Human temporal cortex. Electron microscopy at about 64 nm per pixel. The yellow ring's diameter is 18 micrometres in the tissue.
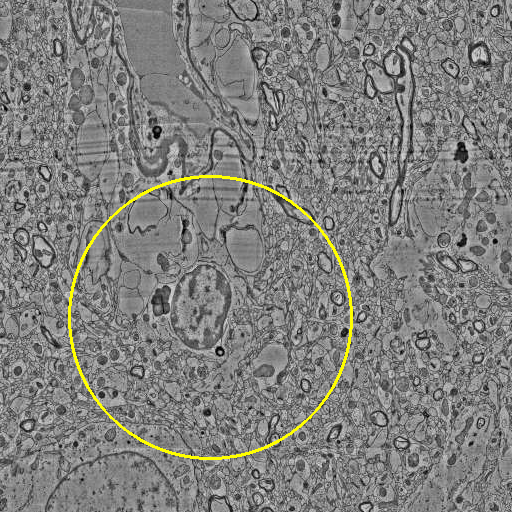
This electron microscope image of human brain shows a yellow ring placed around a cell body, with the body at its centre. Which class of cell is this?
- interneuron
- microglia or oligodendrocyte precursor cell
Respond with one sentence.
The cell body at the ring's centre is a microglial cell or oligodendrocyte precursor cell.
